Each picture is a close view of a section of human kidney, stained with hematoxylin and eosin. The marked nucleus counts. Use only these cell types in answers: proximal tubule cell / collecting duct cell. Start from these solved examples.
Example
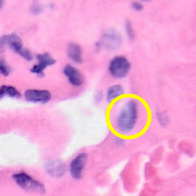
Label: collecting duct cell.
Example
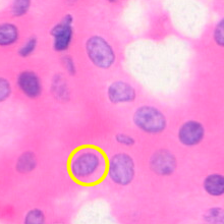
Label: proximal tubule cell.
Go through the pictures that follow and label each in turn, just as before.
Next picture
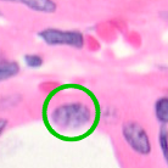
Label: collecting duct cell.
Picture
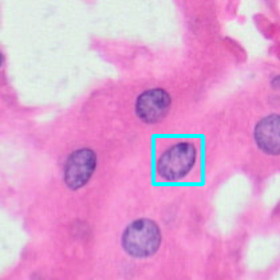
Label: proximal tubule cell.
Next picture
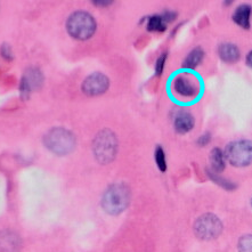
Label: collecting duct cell.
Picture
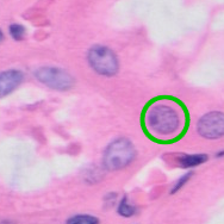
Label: proximal tubule cell.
